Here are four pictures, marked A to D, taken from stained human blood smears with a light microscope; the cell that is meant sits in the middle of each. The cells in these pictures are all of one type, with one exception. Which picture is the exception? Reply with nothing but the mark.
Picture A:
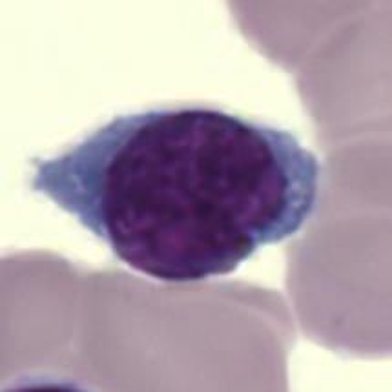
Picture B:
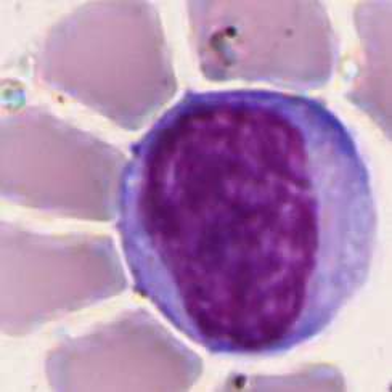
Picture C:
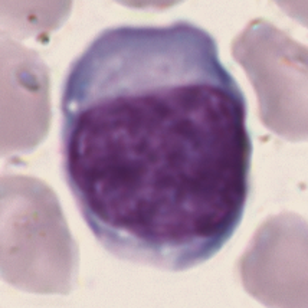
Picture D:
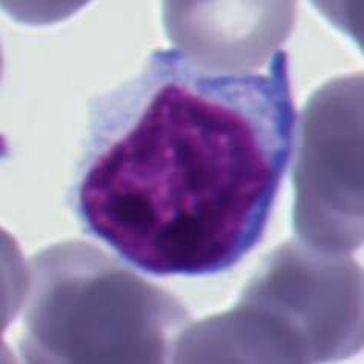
D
